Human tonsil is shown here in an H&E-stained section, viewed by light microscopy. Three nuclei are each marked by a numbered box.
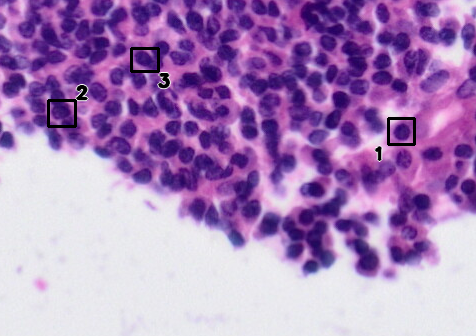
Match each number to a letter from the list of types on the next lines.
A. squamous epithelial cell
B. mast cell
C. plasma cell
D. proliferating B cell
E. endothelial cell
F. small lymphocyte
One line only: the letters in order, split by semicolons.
C; F; F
